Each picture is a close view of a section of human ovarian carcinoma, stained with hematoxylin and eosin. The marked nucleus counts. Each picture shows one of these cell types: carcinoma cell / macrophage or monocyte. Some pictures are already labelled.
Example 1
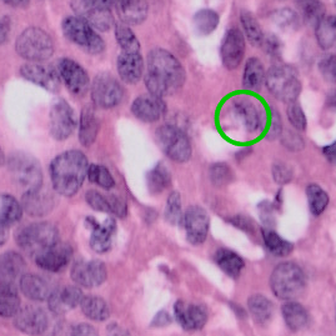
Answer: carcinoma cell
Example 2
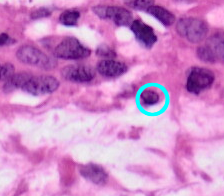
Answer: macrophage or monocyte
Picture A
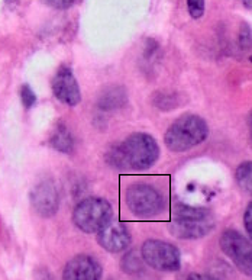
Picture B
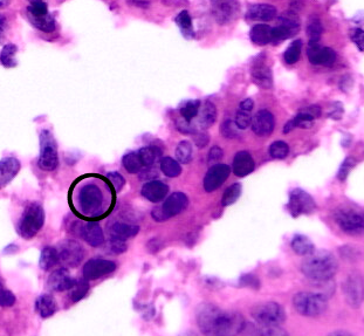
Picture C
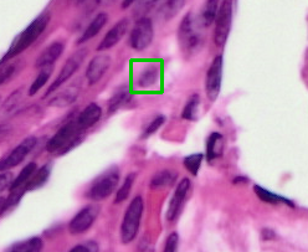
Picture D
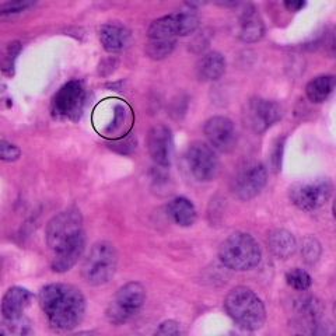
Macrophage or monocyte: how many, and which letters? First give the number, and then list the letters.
Count: 2 (C, D)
